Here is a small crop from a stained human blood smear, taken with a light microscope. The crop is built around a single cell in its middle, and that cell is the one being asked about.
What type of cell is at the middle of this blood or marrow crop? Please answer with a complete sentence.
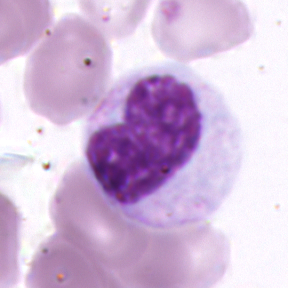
The central element of this crop is a cell, namely a metamyelocyte.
